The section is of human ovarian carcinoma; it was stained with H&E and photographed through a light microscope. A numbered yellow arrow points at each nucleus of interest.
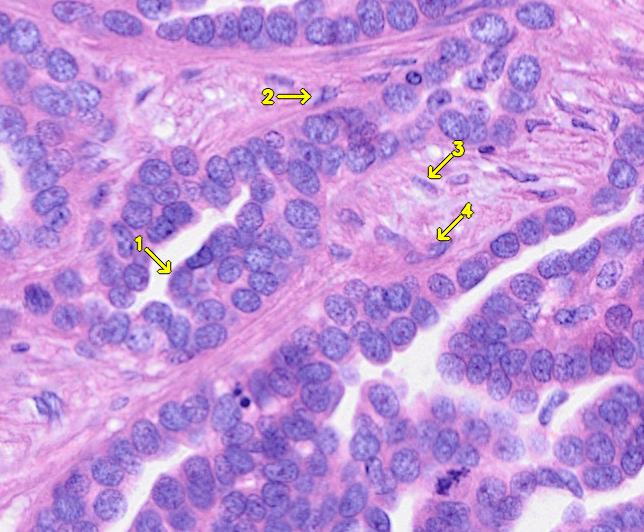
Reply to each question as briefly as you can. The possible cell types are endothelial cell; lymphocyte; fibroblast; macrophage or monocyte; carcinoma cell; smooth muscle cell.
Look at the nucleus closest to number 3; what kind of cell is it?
fibroblast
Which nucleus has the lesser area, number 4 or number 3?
3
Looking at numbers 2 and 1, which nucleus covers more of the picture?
1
